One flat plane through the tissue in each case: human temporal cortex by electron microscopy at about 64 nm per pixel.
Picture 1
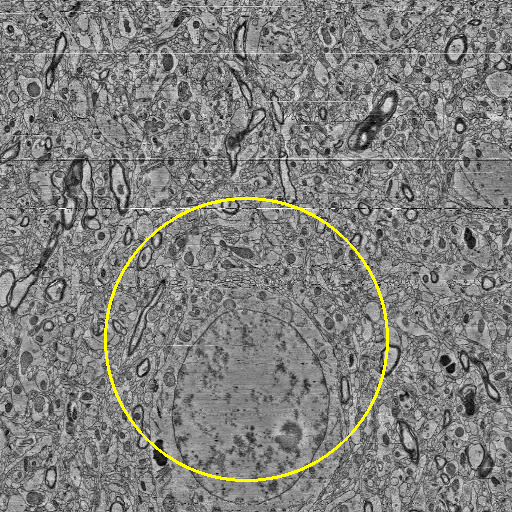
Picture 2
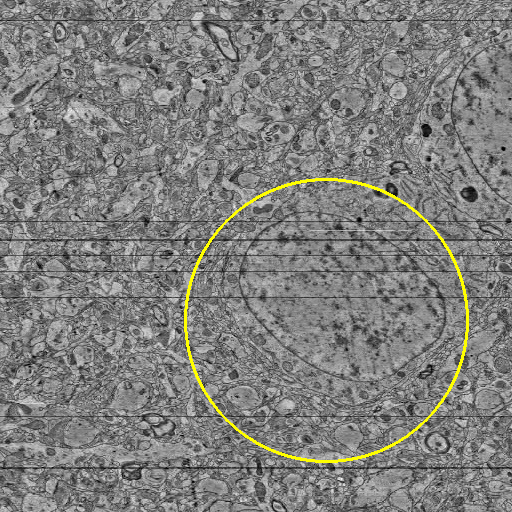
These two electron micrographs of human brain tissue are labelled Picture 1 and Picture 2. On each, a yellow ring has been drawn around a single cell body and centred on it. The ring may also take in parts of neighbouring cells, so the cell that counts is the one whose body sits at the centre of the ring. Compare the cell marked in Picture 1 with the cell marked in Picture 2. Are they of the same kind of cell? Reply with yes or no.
yes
